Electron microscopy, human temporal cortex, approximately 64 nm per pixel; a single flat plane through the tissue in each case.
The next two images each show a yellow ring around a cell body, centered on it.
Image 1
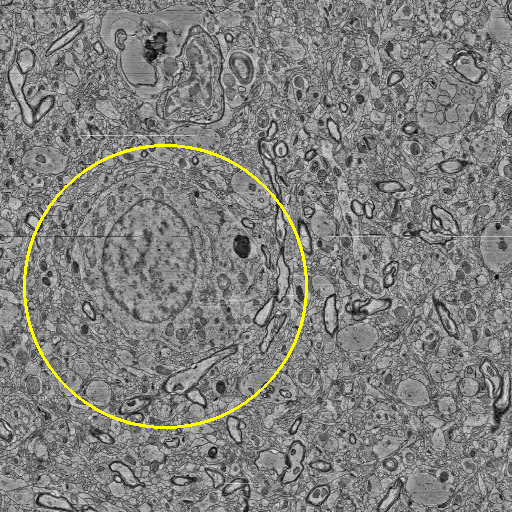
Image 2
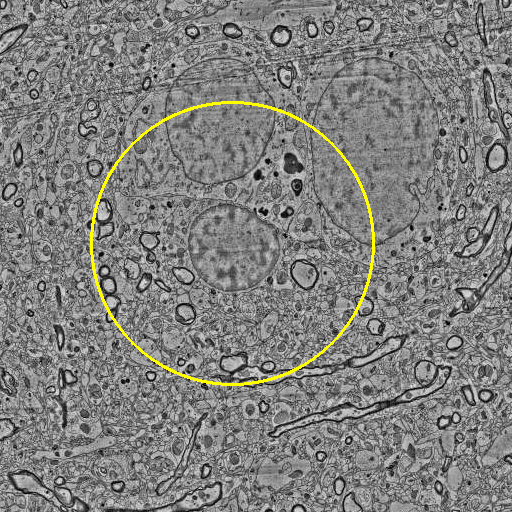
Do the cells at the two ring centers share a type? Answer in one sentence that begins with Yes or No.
No, across the two images the cells at the ring centers are of two types.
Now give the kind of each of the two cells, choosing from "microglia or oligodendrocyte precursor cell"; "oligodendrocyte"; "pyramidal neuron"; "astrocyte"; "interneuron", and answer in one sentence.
The cell in the first picture is an interneuron, and the cell in the second is an oligodendrocyte.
